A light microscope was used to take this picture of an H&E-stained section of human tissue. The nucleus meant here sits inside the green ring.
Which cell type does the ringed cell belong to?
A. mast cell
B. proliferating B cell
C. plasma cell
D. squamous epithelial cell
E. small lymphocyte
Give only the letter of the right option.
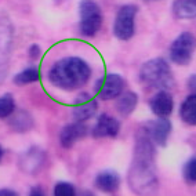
B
